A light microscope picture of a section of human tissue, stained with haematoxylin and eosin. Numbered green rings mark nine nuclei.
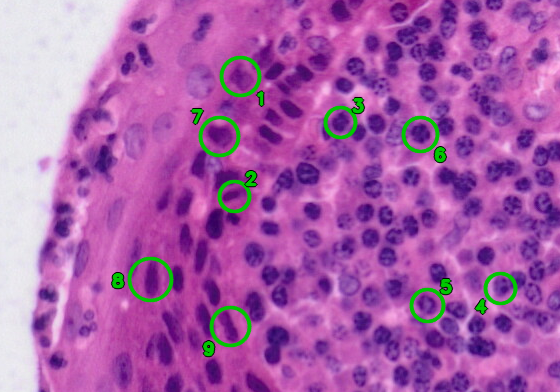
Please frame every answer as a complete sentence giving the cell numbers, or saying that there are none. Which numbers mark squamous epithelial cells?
Cells 1, 2, 7, 8 and 9 share one type; they are squamous epithelial cells.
